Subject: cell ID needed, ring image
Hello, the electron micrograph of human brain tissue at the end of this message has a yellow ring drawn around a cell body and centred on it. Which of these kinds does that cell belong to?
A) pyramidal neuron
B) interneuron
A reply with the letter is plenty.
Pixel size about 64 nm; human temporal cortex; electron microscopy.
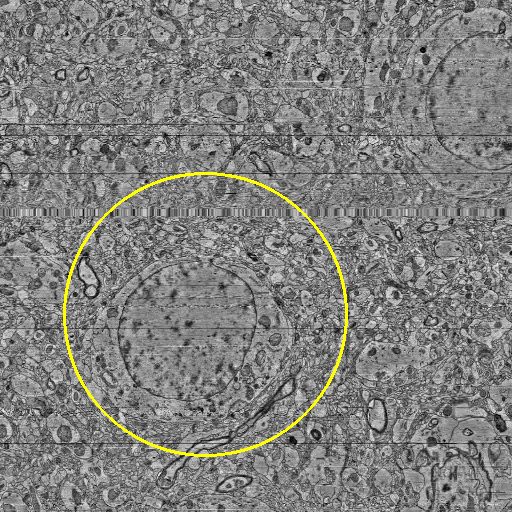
A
